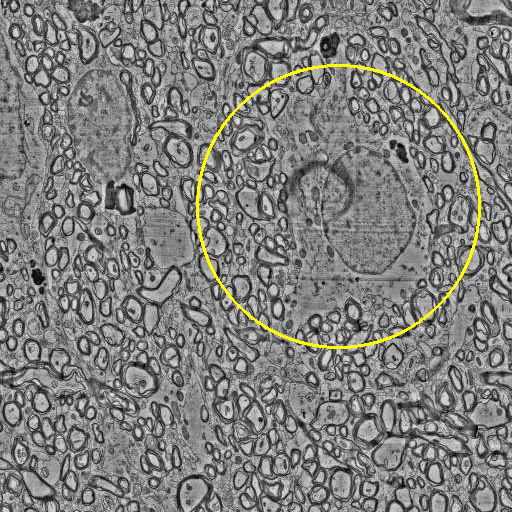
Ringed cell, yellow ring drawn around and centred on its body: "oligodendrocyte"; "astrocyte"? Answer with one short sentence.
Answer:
This ringed cell is an astrocyte.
